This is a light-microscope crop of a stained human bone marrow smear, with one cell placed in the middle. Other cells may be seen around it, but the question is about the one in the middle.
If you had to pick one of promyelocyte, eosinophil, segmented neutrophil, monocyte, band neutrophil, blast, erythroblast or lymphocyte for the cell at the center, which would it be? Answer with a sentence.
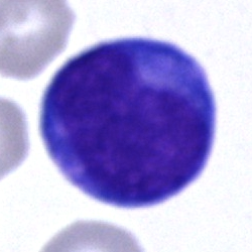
The single cell at the center of the crop is a blast.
